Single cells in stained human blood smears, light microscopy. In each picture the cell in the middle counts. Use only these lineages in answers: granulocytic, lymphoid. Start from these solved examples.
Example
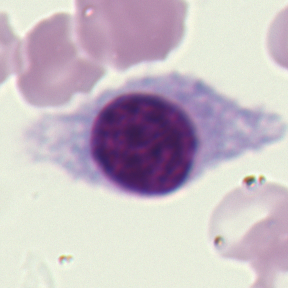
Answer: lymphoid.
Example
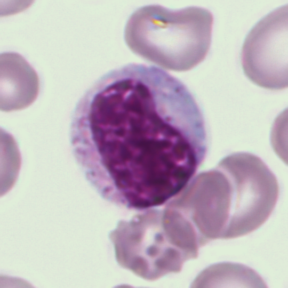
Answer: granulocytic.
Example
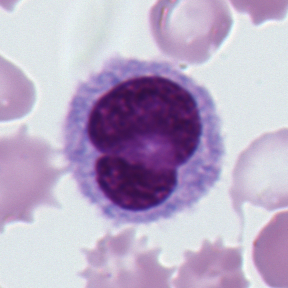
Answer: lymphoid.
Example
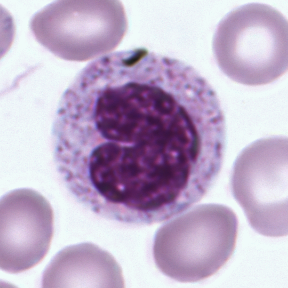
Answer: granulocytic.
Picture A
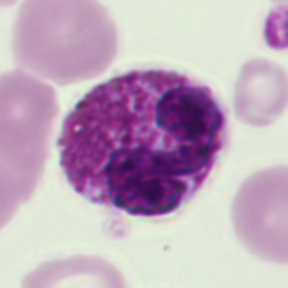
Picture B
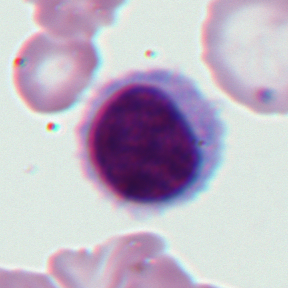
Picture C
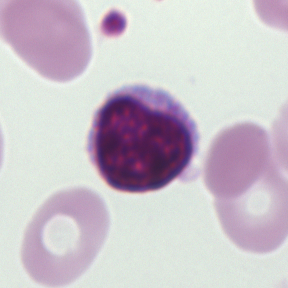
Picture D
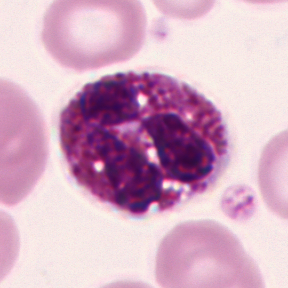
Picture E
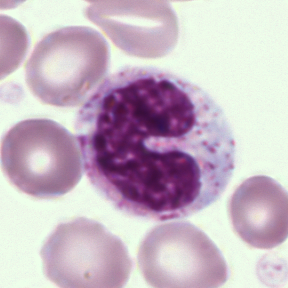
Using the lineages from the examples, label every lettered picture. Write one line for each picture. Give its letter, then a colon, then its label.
A: granulocytic.
B: lymphoid.
C: lymphoid.
D: granulocytic.
E: granulocytic.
